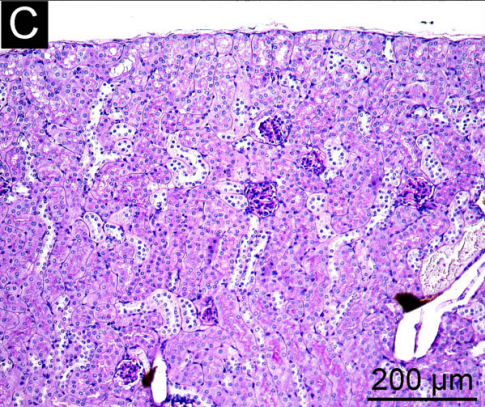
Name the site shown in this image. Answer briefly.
cortex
